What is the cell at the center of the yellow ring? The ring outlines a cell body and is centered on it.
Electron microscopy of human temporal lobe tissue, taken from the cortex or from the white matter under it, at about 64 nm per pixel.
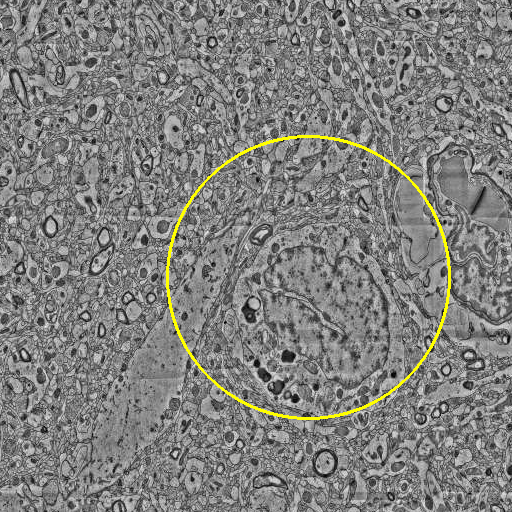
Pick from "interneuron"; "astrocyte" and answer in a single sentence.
The yellow ring is centered on an interneuron.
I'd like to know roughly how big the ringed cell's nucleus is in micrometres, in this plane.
About 10 by 8 micrometres in this plane.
